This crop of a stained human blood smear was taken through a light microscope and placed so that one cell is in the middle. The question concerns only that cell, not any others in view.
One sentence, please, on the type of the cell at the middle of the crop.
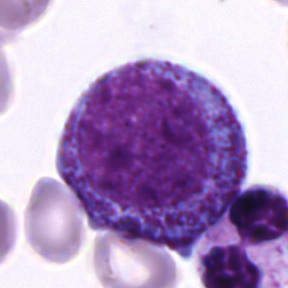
This crop is built around a promyelocyte at its centre.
